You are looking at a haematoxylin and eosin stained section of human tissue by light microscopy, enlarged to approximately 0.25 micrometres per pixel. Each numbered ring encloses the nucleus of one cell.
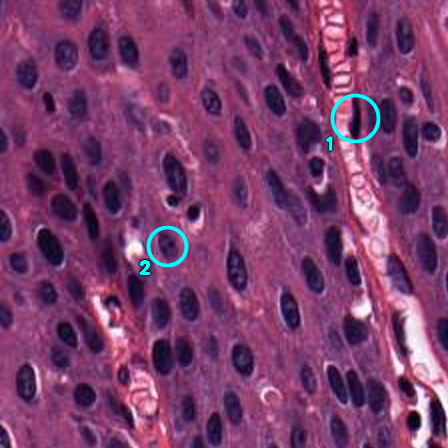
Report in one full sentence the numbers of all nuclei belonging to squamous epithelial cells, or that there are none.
Unlike the other numbered nuclei, nucleus 2 belongs to a squamous epithelial cell.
